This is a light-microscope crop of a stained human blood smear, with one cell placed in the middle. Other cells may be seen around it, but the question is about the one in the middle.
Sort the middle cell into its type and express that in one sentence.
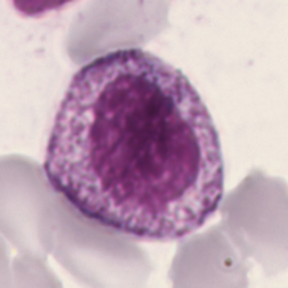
The cell centred in this crop is categorized as a myelocyte.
